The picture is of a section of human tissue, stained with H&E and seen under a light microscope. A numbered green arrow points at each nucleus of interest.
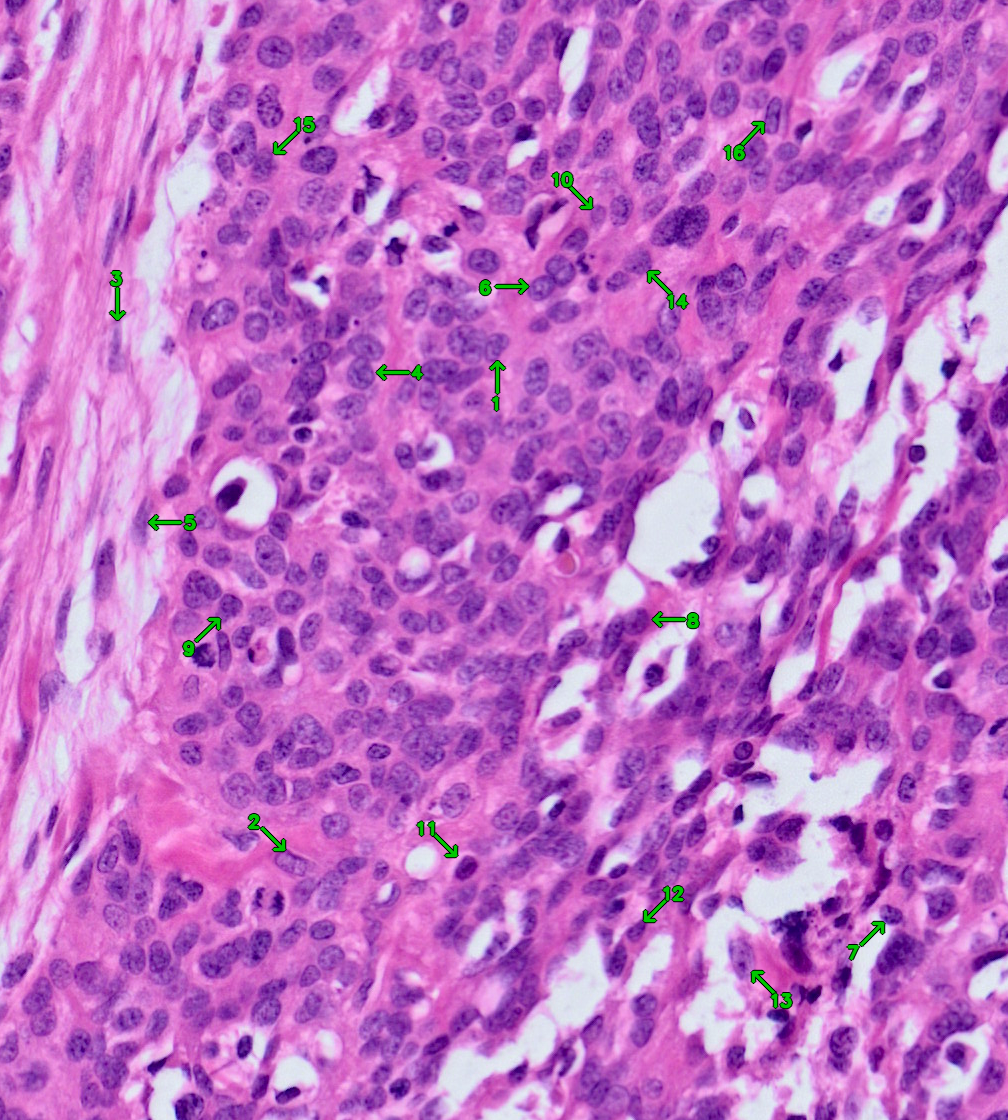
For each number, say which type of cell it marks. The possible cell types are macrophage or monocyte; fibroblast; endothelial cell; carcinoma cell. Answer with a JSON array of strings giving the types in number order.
["carcinoma cell", "endothelial cell", "fibroblast", "carcinoma cell", "fibroblast", "carcinoma cell", "macrophage or monocyte", "carcinoma cell", "carcinoma cell", "carcinoma cell", "carcinoma cell", "macrophage or monocyte", "macrophage or monocyte", "carcinoma cell", "carcinoma cell", "macrophage or monocyte"]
